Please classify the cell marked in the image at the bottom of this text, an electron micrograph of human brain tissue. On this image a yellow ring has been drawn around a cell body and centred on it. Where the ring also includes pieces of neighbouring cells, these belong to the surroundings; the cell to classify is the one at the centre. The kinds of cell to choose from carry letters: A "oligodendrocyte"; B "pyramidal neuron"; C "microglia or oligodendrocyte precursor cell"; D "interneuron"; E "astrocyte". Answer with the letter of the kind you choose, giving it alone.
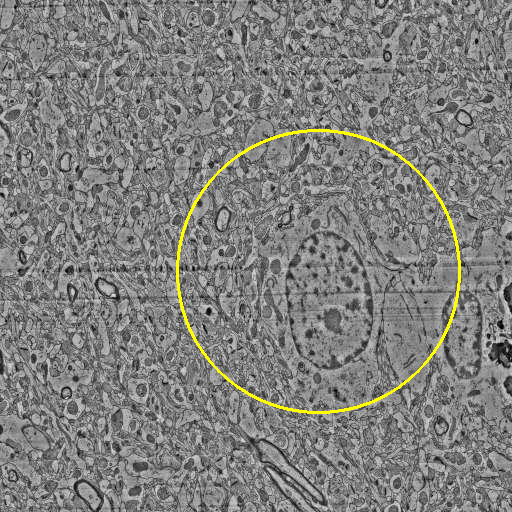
E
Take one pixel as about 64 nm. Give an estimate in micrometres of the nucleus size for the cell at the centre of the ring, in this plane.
In this plane, about 9 by 5 micrometres: the nucleus is clearly longer than it is wide.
